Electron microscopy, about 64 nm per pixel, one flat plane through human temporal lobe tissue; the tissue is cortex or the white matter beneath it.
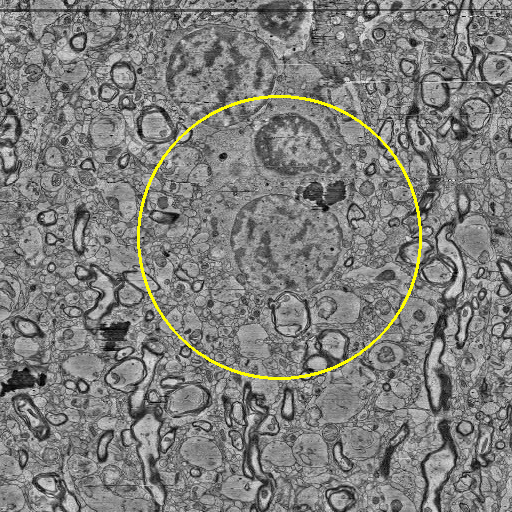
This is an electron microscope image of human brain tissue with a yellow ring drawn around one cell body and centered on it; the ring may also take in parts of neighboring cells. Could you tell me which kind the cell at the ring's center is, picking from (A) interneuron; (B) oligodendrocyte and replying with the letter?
B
